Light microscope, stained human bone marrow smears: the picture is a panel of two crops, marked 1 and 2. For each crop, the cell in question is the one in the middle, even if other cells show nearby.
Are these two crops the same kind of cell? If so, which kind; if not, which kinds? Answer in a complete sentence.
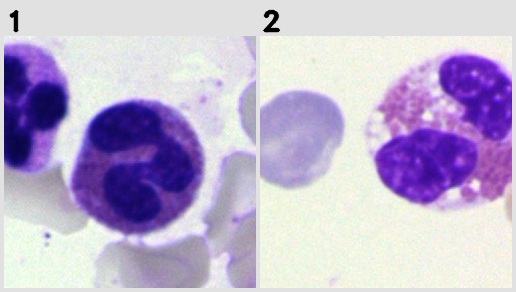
Yes, the cells of interest in both crops are eosinophils.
